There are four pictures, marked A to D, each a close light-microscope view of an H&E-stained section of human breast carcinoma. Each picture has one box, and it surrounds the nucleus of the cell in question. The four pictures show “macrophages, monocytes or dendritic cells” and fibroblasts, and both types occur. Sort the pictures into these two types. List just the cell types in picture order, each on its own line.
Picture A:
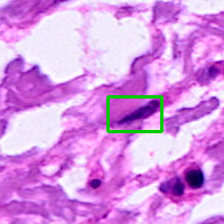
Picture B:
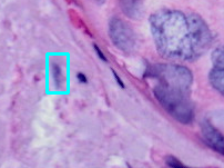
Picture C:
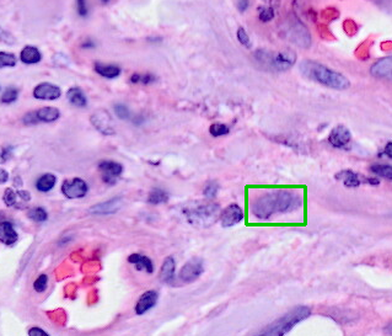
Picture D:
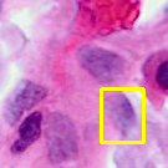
fibroblast
fibroblast
macrophage, monocyte or dendritic cell
fibroblast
